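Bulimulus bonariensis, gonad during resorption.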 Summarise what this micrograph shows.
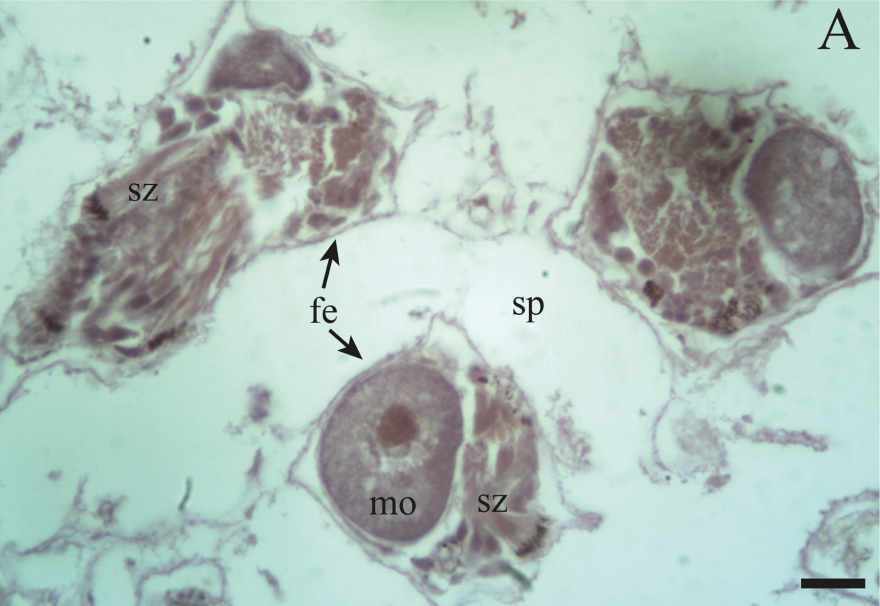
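Inside the follicles lie clusters of sperm, seen as elongated, streaming bundles of pinkish filaments with darker, brownish head regions gathered at one end. Beside them lie large, oval mature oocytes with finely granular, pale purplish cytoplasm and a central, darker rounded nucleus region. Much of the remaining follicle content is fragmented into irregular pink-brown pieces. The follicles appear loosely packed, with their contents partly shrunken away from the thin walls.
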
